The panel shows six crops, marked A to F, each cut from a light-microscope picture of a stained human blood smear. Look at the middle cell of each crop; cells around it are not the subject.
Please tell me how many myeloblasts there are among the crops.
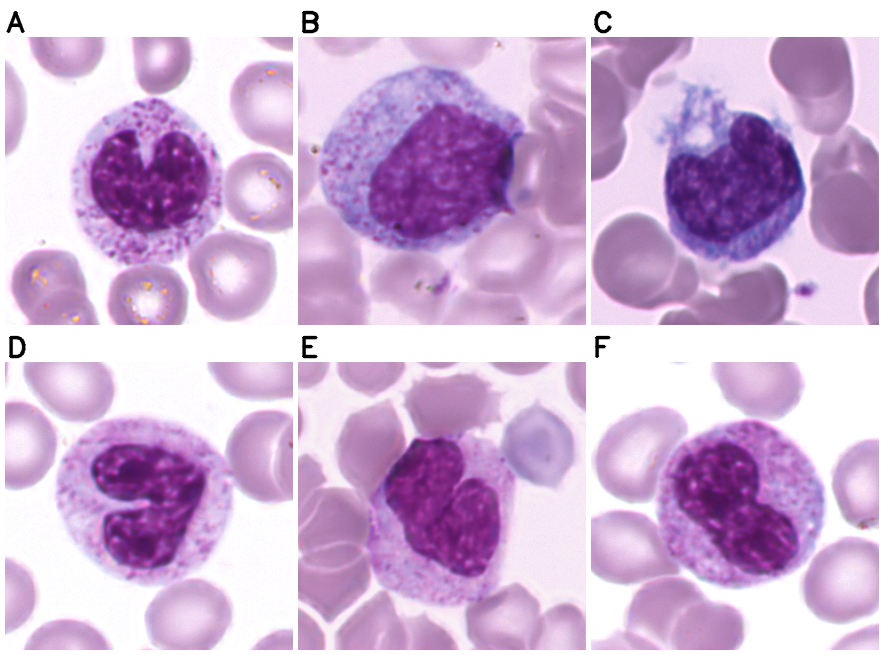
0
